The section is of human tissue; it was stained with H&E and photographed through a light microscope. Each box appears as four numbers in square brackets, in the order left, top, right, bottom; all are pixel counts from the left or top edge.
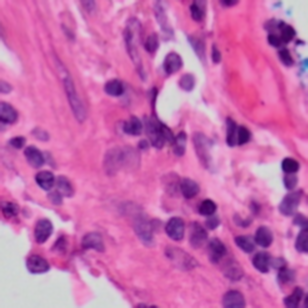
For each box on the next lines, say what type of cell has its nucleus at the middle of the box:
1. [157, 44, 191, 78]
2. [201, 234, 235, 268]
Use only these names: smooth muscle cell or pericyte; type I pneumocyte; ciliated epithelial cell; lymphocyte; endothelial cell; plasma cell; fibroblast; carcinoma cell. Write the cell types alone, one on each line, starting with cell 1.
lymphocyte
plasma cell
